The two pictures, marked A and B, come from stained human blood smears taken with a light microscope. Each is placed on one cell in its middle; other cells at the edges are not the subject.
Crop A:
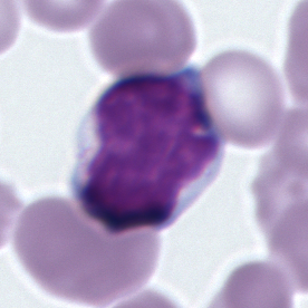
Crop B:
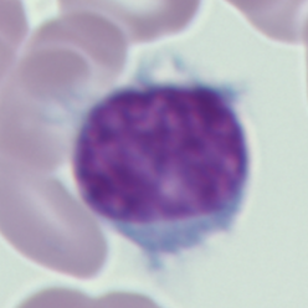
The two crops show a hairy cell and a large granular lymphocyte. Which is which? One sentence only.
In this set, crop A is a large granular lymphocyte and crop B is a hairy cell.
